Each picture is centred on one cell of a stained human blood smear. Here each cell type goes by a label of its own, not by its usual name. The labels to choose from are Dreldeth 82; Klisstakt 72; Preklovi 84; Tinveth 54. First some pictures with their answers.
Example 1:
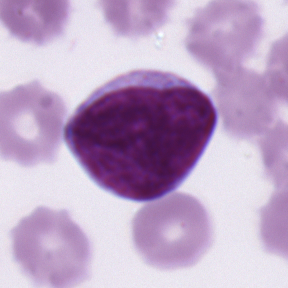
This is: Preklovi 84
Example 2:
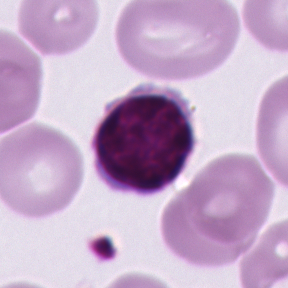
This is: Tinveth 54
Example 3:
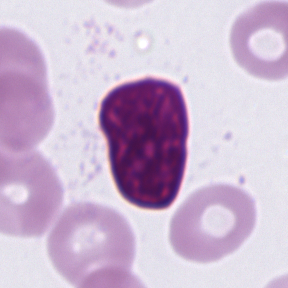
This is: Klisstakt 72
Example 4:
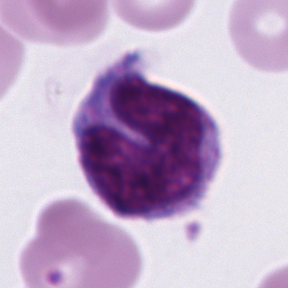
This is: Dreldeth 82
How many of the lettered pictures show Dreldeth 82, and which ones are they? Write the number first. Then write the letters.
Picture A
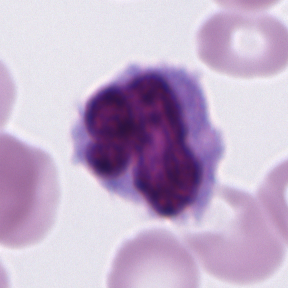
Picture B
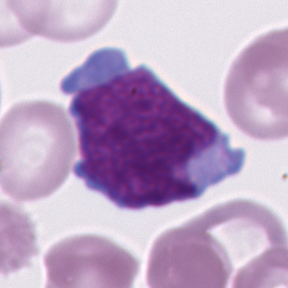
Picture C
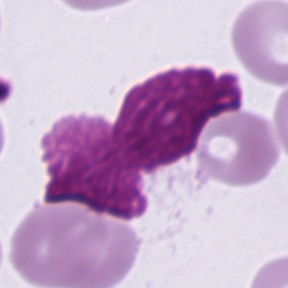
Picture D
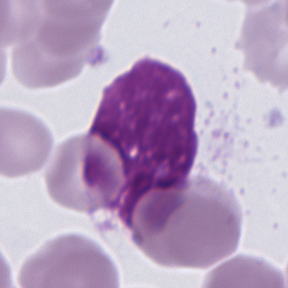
1, namely A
